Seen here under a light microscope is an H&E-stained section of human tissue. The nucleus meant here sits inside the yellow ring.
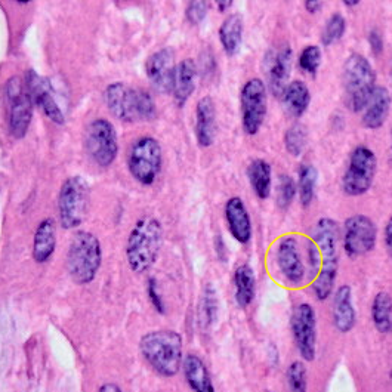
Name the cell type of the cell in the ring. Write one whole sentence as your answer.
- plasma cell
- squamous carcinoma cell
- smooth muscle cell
The cell in the ring appears to be a squamous carcinoma cell.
